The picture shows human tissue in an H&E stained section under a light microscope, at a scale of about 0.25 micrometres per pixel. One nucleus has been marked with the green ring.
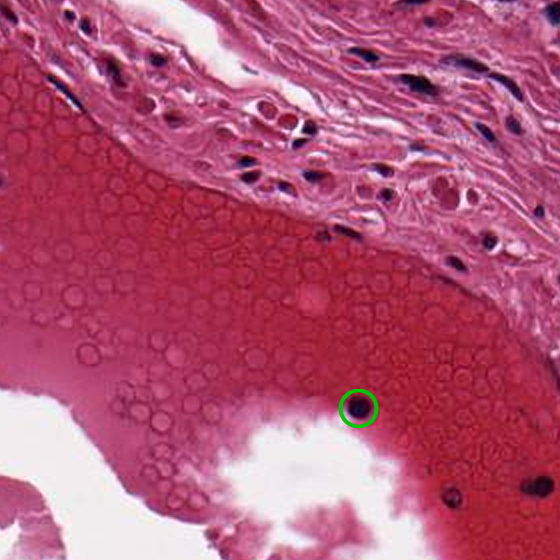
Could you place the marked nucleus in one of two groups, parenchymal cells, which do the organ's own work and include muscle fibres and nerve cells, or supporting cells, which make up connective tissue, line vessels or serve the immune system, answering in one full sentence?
The cell to which the marked nucleus belongs is a supporting cell.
